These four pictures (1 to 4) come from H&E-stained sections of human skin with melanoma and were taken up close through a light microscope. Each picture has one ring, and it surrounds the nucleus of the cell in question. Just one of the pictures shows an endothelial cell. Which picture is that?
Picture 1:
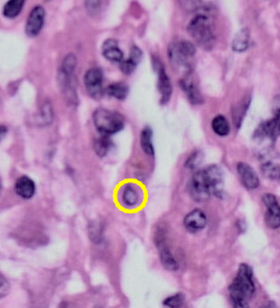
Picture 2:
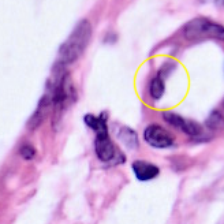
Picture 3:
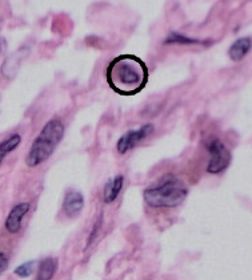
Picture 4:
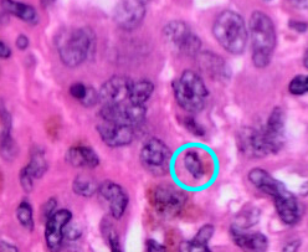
2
